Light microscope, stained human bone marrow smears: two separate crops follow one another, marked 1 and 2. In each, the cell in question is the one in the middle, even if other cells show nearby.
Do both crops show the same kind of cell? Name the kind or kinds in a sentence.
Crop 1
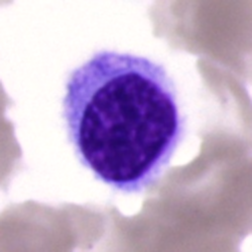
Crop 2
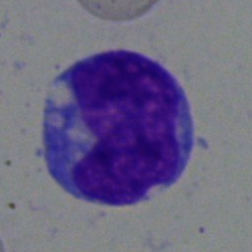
No, in crop 1 the cell is a hairy cell, and in crop 2 it is a blast.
